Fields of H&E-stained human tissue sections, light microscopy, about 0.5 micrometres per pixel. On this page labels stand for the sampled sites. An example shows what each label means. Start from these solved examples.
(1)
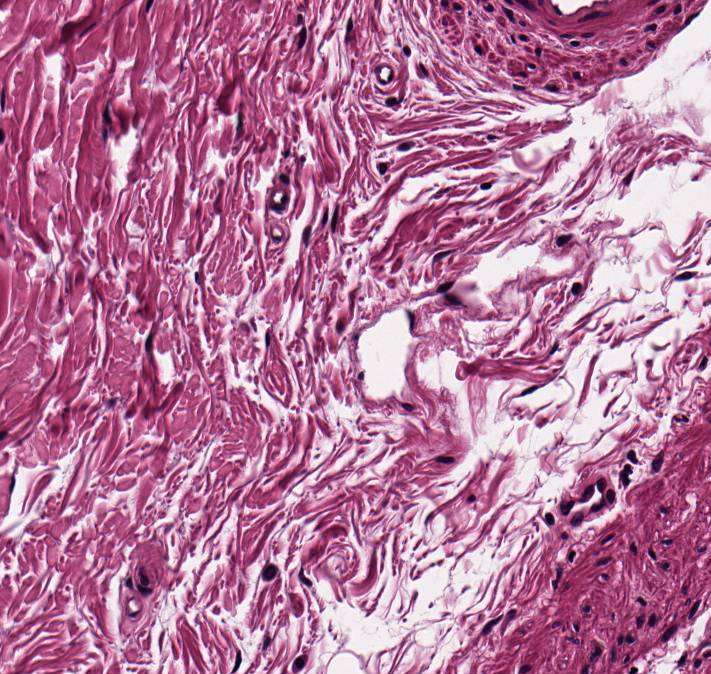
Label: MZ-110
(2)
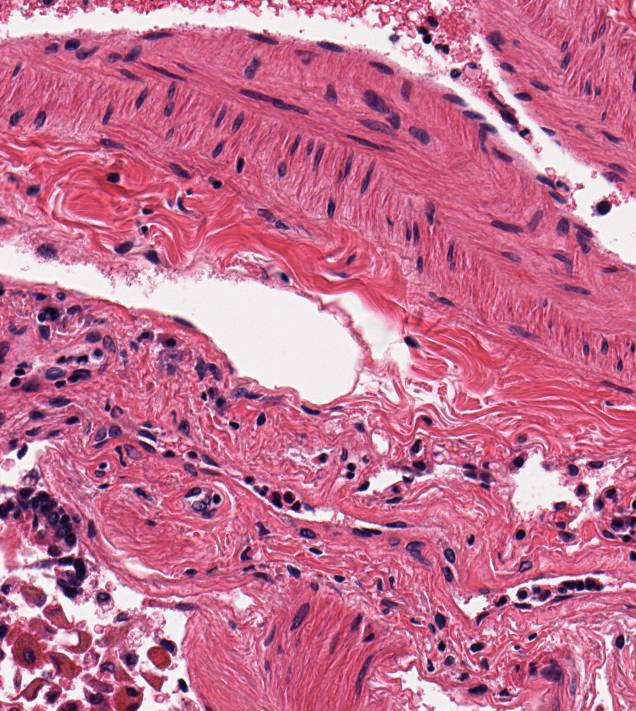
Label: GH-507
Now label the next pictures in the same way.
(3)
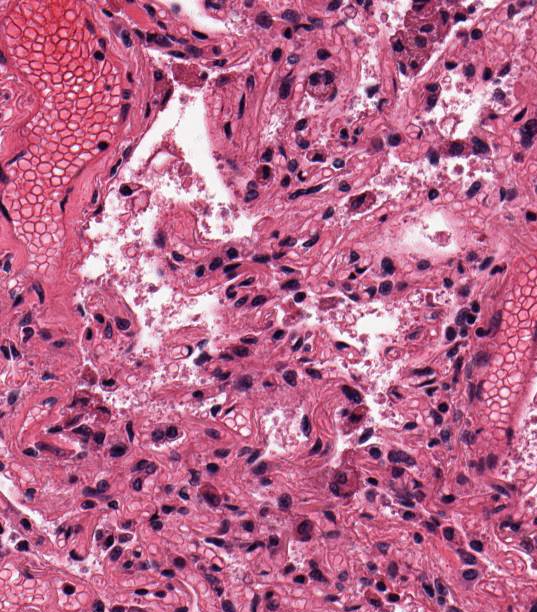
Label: GH-507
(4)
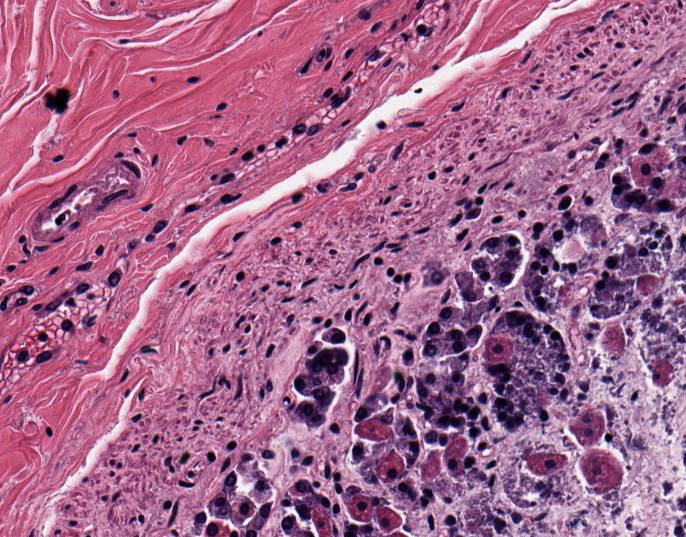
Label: MZ-110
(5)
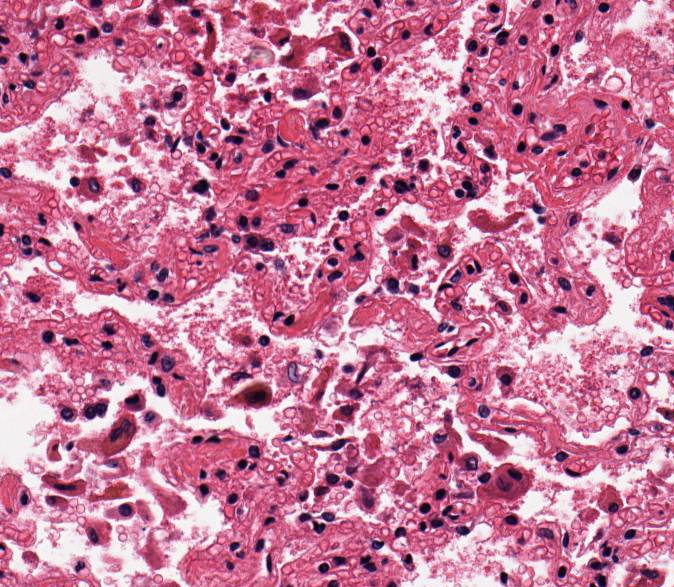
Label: GH-507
